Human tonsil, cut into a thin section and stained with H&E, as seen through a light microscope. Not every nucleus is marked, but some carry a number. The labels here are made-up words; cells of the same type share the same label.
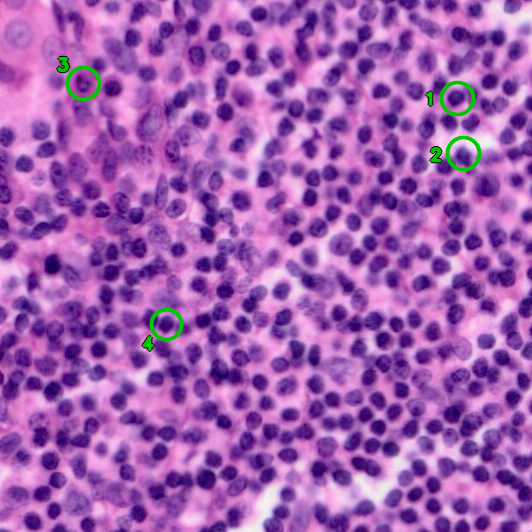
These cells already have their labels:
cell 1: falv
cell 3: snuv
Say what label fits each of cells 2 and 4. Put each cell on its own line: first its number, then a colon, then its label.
2: falv
4: falv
